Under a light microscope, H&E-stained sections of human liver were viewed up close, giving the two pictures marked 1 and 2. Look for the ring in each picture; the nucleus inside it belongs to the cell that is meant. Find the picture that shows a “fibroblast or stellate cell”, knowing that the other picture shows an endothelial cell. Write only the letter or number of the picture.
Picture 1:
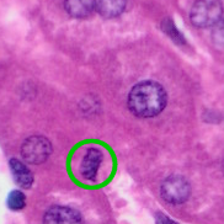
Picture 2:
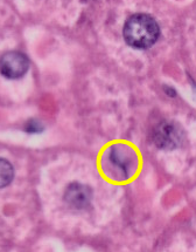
1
